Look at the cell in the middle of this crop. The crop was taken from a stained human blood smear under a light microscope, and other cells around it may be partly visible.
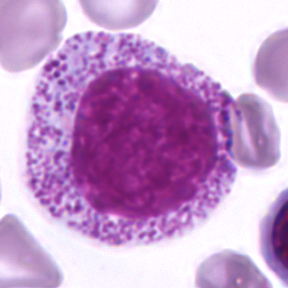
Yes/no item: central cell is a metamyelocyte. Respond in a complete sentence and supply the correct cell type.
No, the centred cell is a myelocyte, and it is not a metamyelocyte.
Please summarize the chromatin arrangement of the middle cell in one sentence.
No coarse chromatin clumps are present; the pattern is fine.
